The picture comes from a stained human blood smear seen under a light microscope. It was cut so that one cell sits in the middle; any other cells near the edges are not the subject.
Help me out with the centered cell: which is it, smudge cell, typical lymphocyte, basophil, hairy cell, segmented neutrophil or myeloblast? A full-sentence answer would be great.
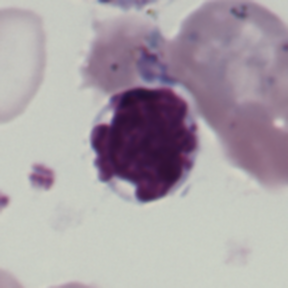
The cell at the middle of the frame should be recorded as a typical lymphocyte.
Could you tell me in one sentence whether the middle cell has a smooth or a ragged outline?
There are no projections here; the outline is simply smooth.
